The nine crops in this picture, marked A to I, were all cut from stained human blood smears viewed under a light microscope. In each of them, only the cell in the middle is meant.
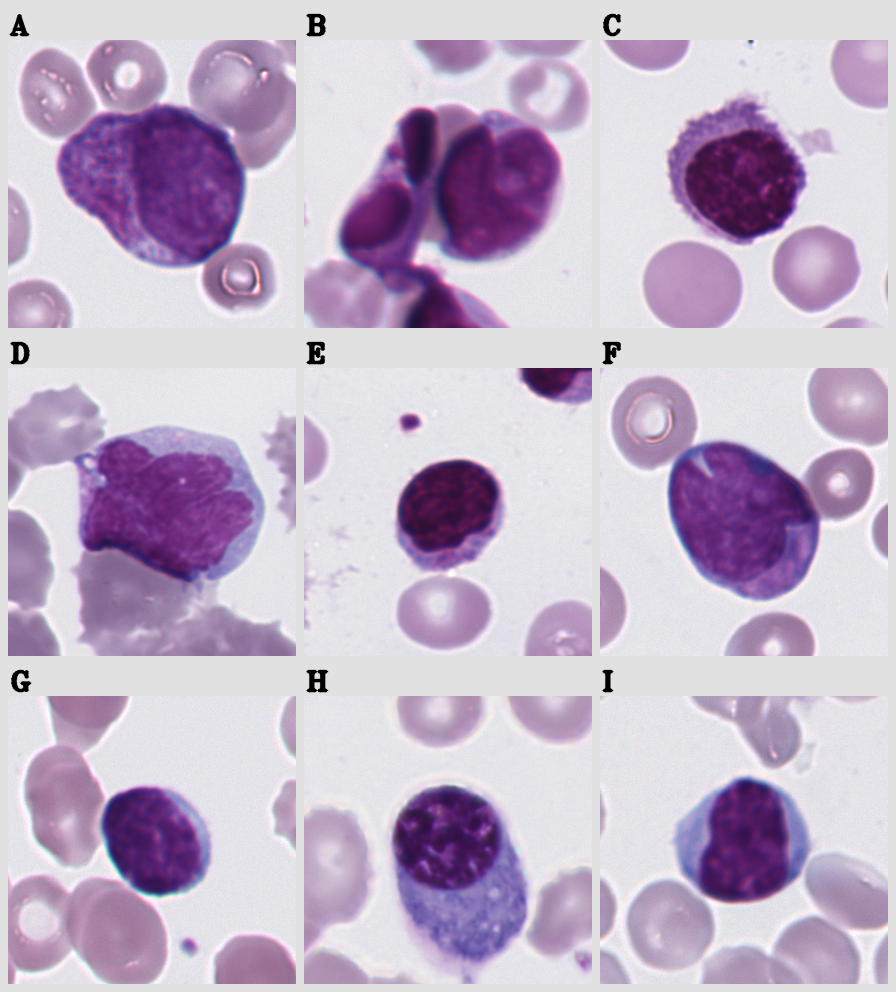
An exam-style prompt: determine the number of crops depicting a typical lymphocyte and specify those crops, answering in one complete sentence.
Crops showing typical lymphocytes: four in all, namely C, E, G and I.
